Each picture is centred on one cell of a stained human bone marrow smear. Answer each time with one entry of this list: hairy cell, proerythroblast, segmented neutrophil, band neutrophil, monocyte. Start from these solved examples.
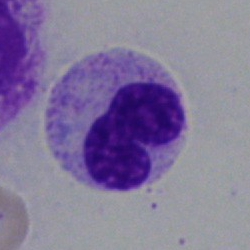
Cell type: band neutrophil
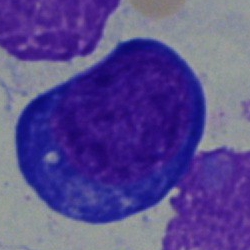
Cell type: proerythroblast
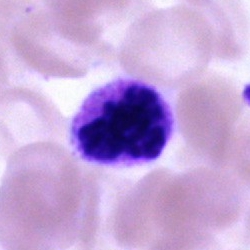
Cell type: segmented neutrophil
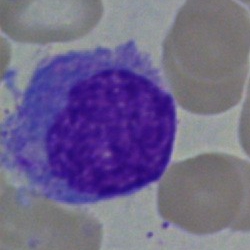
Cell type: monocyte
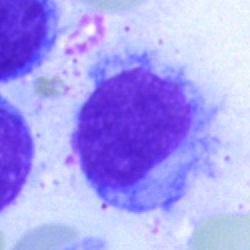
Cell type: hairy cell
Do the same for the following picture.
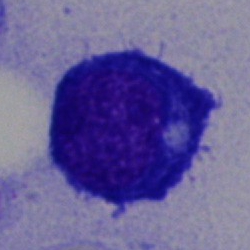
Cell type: proerythroblast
